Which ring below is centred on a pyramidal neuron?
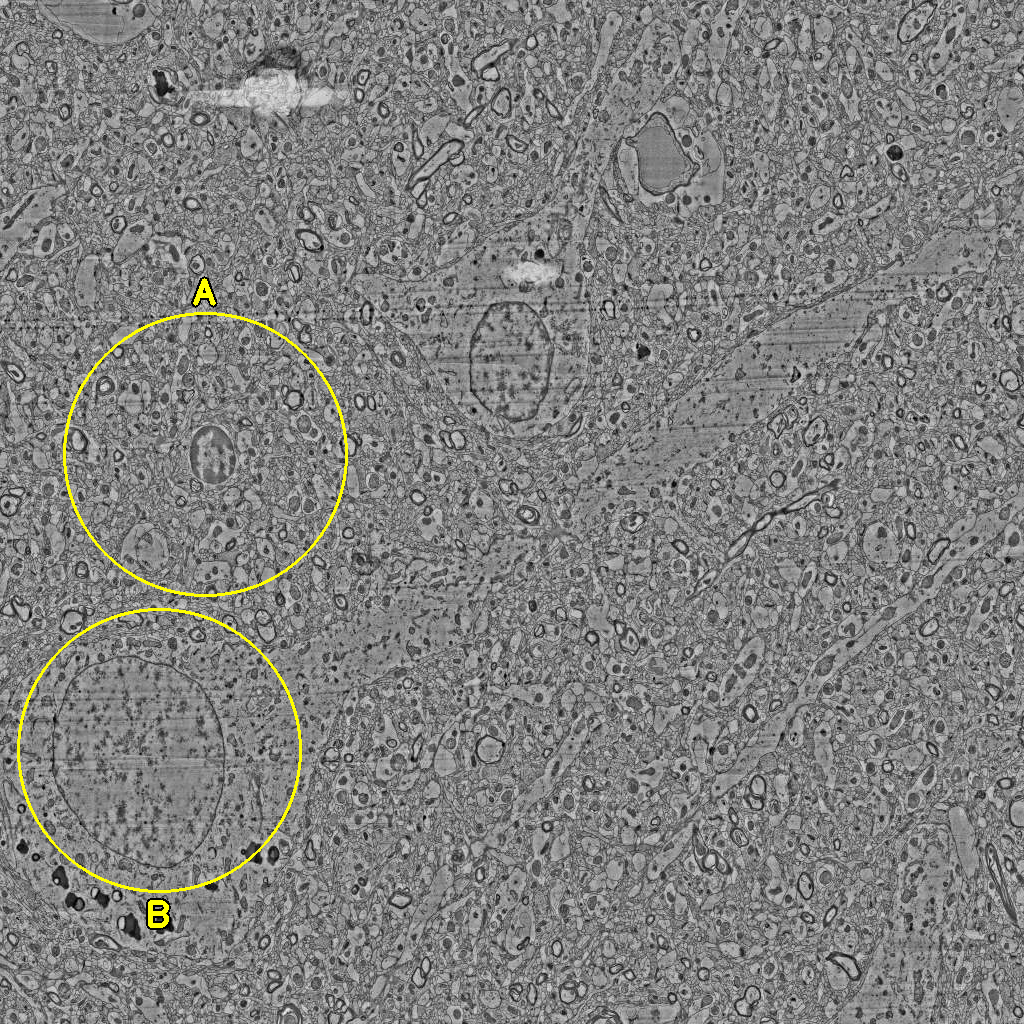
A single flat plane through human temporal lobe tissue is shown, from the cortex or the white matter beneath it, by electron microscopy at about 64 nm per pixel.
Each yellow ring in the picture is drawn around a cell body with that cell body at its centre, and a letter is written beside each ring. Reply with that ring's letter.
B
